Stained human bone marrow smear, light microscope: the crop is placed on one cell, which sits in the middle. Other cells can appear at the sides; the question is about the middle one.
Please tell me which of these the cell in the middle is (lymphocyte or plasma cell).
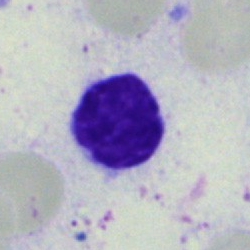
lymphocyte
